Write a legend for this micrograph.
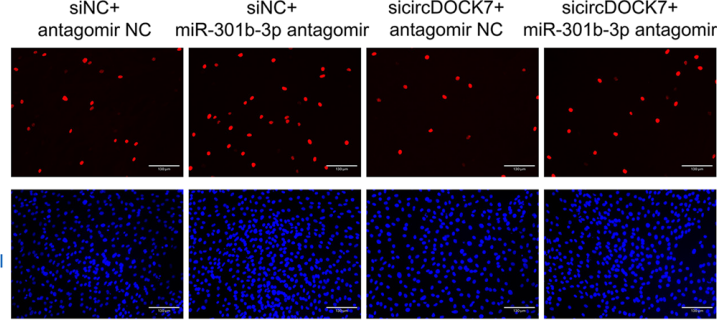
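A grid of fluorescence fields shows a dense, fairly even monolayer of cultured cells seen only by their nuclei. In the blue views, many small round to oval nuclei are scattered across the field, closely but not overlapping, with no obvious clumping. In the red views, far fewer nuclei light up, as scattered bright spots on a dark background. Only a minority of the nuclei in each field carry the red label.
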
